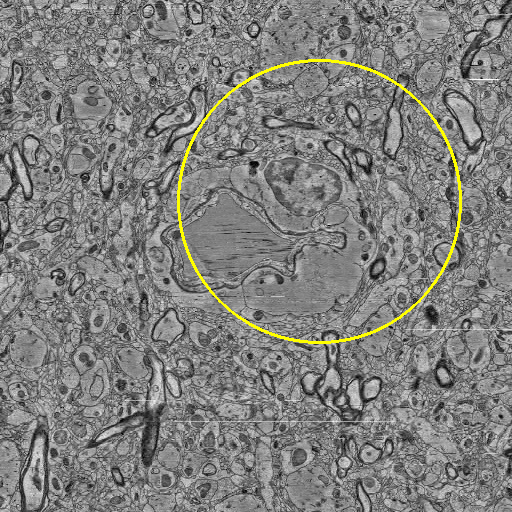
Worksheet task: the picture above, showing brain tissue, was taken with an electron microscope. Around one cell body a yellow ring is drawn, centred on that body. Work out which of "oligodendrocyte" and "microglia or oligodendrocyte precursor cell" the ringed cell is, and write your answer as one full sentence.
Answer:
It is a microglial cell or oligodendrocyte precursor cell whose cell body lies at the centre of the yellow ring.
